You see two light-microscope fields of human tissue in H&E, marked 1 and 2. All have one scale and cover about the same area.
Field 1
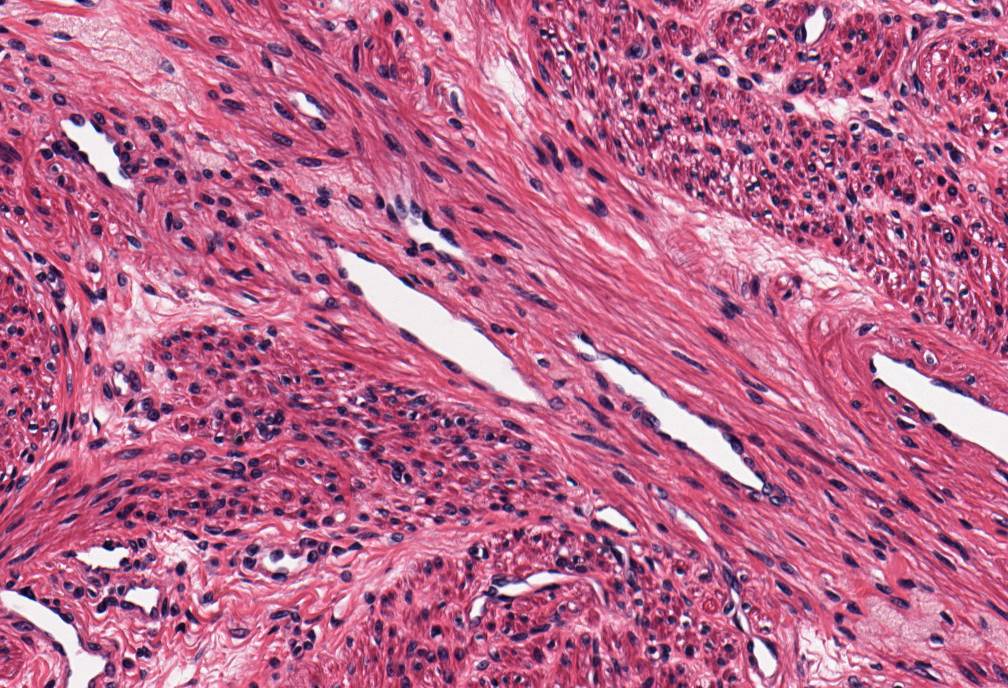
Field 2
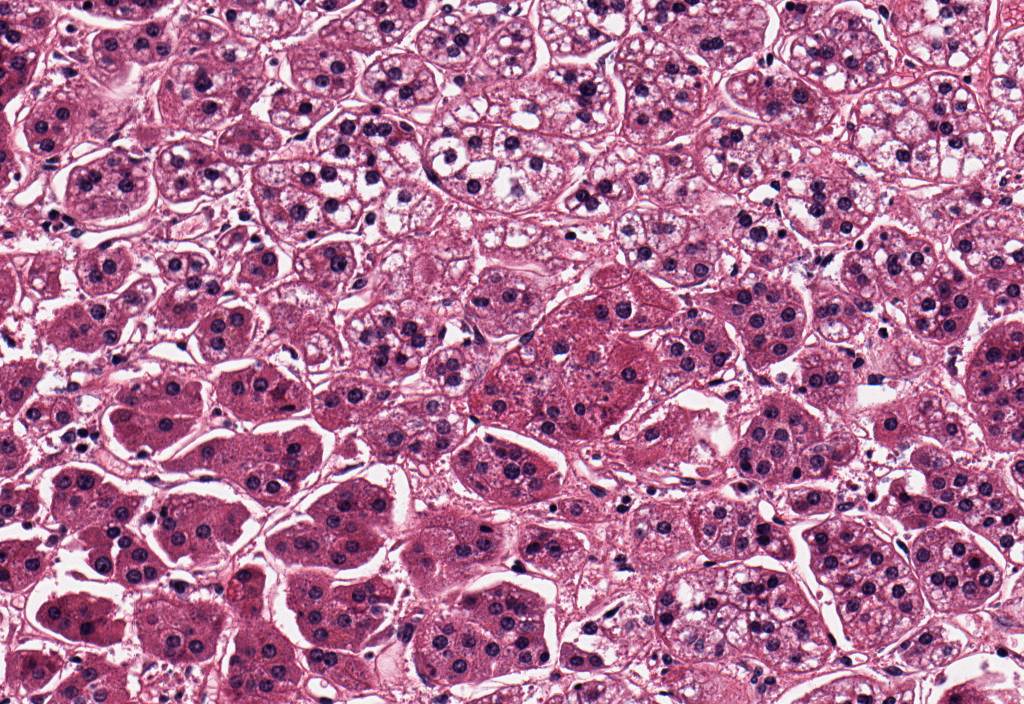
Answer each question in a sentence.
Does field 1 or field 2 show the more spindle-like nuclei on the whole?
On the whole the nuclei of field 1 are more drawn out than those of field 2.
